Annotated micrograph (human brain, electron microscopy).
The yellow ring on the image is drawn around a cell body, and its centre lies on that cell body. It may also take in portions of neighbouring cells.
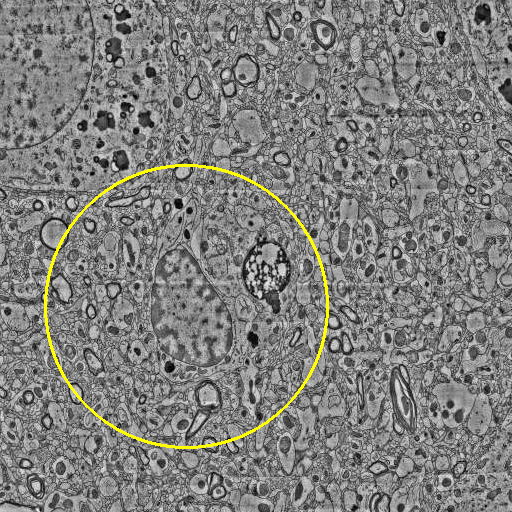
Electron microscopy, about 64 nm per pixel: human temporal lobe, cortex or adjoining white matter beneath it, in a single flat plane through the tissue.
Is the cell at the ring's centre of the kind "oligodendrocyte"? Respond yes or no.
No, it is of another kind.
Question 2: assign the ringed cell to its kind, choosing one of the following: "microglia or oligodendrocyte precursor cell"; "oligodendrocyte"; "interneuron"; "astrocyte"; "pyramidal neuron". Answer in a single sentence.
That cell in the ring is a microglial cell or oligodendrocyte precursor cell instead.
